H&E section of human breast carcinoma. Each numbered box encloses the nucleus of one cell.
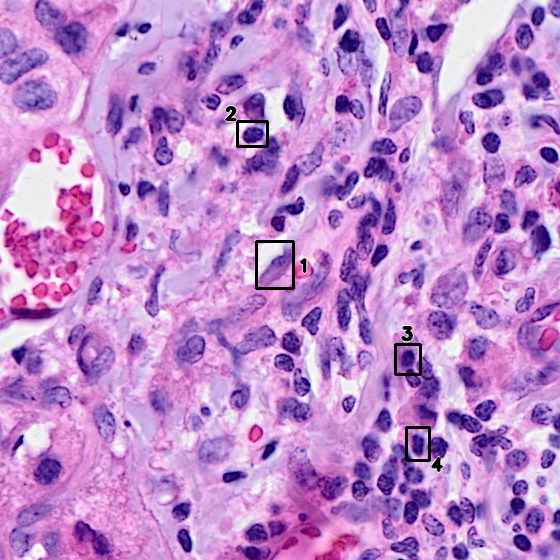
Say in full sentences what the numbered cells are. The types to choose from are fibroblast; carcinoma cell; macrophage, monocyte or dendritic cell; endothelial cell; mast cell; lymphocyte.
Cell 1 is an endothelial cell, cell 2 is a lymphocyte, cell 3 is a lymphocyte and cell 4 is a lymphocyte.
